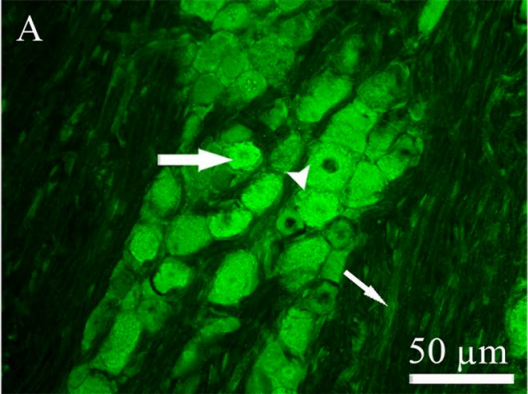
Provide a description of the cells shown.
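Clusters of large rounded neurons with green granular cytoplasm are packed in an oblique band, several with a distinct round central nucleus. The neuronal clusters are separated by thin dark partitions and flanked by bands of fine, streaked nerve fibers.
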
